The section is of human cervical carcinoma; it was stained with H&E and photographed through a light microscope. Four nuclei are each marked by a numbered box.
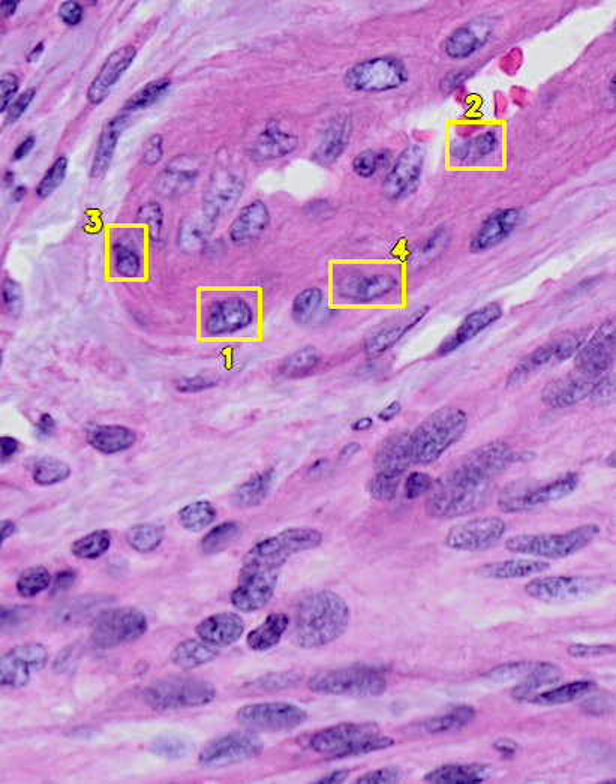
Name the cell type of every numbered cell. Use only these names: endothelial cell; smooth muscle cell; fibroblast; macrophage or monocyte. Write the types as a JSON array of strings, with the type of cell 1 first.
["smooth muscle cell", "endothelial cell", "smooth muscle cell", "smooth muscle cell"]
